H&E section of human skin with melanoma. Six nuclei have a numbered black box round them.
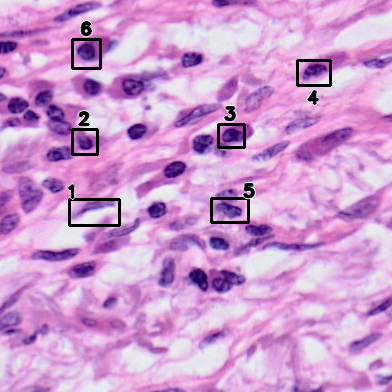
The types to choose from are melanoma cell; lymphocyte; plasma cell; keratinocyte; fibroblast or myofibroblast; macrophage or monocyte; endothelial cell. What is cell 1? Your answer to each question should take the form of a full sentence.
Number 1 among the marked cells is a fibroblast or myofibroblast.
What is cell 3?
The nucleus with number 3 is that of a plasma cell.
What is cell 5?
The nucleus labeled 5 belongs to a lymphocyte.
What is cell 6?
The cell that is numbered 6 is a plasma cell.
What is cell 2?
The cell tagged with 2 in this tissue section is a plasma cell.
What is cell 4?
The cell that bears the number 4 is a plasma cell.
